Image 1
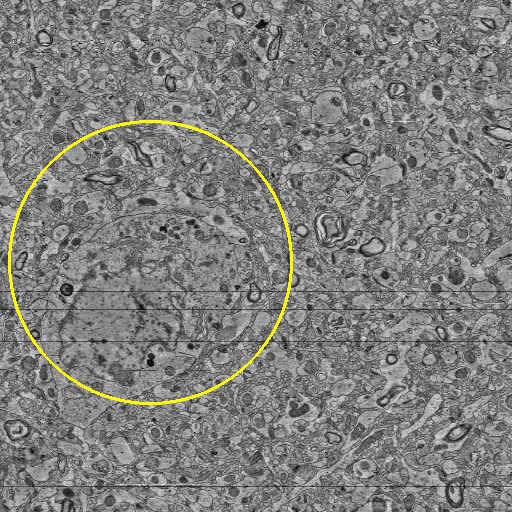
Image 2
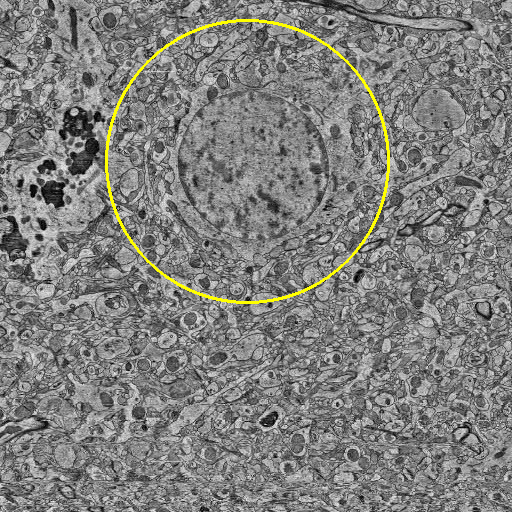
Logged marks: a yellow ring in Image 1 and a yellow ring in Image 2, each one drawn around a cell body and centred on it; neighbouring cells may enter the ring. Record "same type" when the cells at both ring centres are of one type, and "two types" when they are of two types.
two types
